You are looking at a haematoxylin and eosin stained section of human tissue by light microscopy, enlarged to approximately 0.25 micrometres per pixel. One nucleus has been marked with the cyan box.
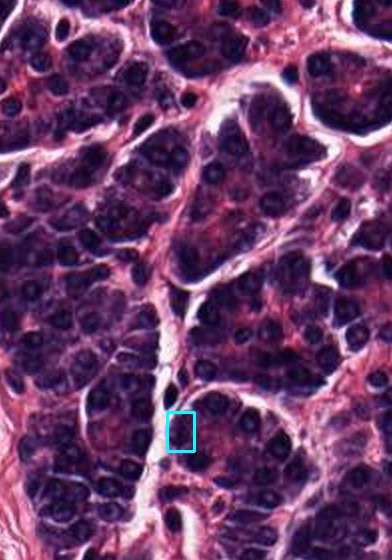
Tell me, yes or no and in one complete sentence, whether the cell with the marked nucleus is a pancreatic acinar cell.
Yes, the nucleus picked out by the mark belongs to a pancreatic acinar cell.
